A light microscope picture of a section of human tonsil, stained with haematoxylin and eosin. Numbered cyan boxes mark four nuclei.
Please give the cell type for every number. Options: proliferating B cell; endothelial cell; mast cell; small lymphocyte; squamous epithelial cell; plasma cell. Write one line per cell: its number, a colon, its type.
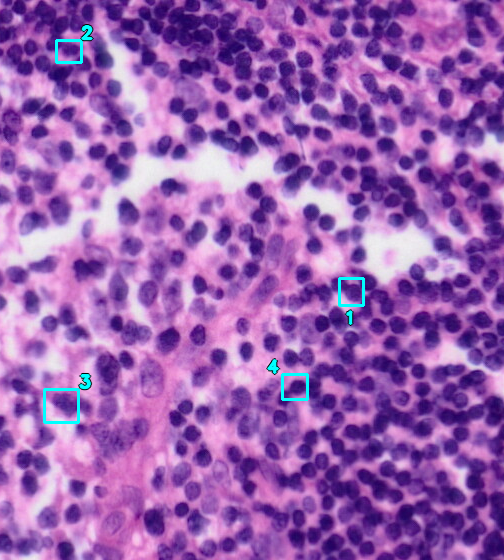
1: small lymphocyte
2: small lymphocyte
3: proliferating B cell
4: small lymphocyte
